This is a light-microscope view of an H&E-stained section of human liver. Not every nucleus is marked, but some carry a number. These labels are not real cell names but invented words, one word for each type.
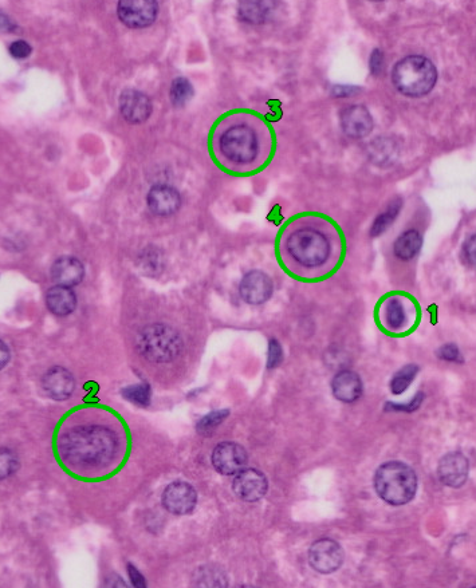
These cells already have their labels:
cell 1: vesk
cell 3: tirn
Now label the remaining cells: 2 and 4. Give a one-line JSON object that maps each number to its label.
{"2": "tirn", "4": "tirn"}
